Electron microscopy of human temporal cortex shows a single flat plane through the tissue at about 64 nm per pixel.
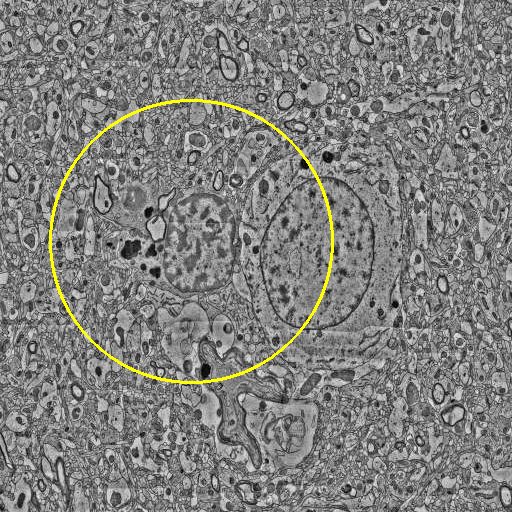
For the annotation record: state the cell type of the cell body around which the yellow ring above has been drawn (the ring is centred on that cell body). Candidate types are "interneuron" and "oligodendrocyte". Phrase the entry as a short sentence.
The ringed cell is an oligodendrocyte.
